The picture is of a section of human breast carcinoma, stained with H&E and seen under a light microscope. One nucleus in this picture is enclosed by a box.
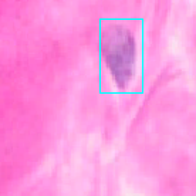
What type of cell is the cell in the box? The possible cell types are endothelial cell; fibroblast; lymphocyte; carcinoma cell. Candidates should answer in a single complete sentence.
By cell type, the cell in the box is a fibroblast.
